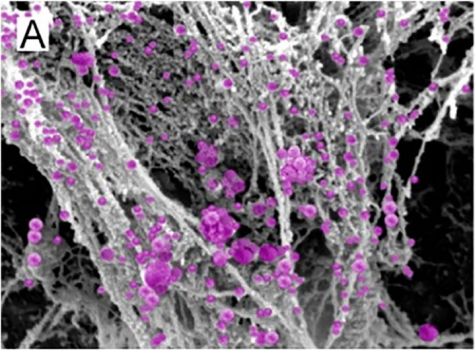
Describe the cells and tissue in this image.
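A dense meshwork of thin, beaded, branching fibres runs mostly diagonally across the field, in places gathered into thicker bundles, over a dark background. Numerous small spherical particles, coloured magenta, sit along and among the fibres. Most are of similar small size, while a few are larger and some lie in grape-like clusters. The particles are attached directly to the strands rather than lying free in the gaps of the mesh. No intact cell bodies are seen.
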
